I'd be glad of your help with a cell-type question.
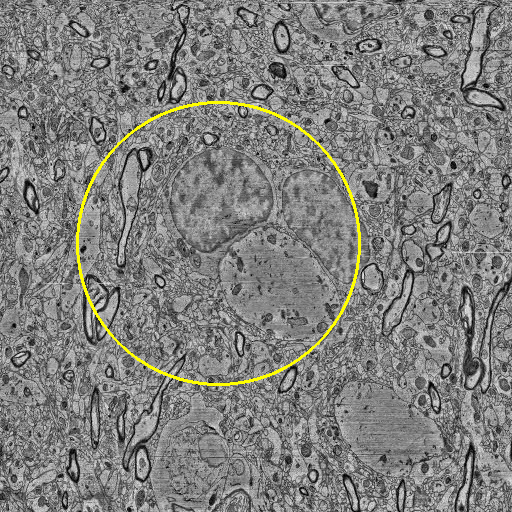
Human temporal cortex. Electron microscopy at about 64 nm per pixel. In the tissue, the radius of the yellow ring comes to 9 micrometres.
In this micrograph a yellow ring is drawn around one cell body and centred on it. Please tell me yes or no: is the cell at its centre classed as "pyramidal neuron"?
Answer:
no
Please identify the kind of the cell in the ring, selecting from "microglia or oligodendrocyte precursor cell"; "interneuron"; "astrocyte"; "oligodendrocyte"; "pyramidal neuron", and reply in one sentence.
The cell enclosed by the ring is an oligodendrocyte.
